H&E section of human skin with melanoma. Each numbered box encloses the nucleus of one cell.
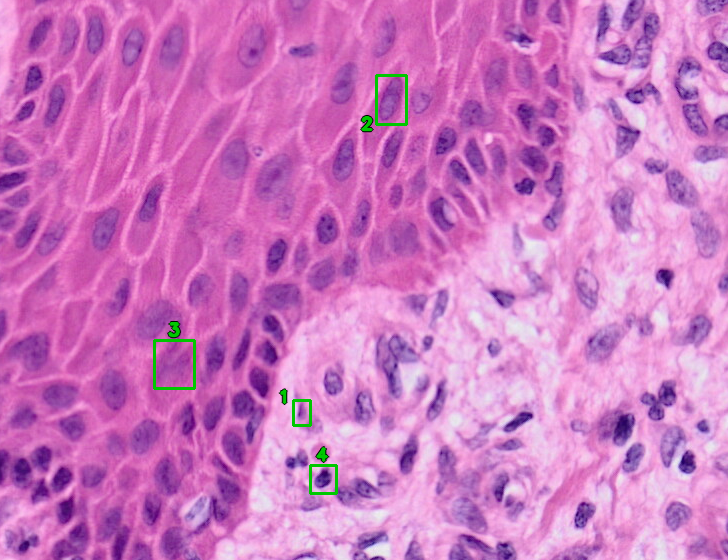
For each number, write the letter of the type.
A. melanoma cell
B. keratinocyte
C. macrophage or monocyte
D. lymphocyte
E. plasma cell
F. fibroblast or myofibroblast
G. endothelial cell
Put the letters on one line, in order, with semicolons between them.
F; B; B; D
